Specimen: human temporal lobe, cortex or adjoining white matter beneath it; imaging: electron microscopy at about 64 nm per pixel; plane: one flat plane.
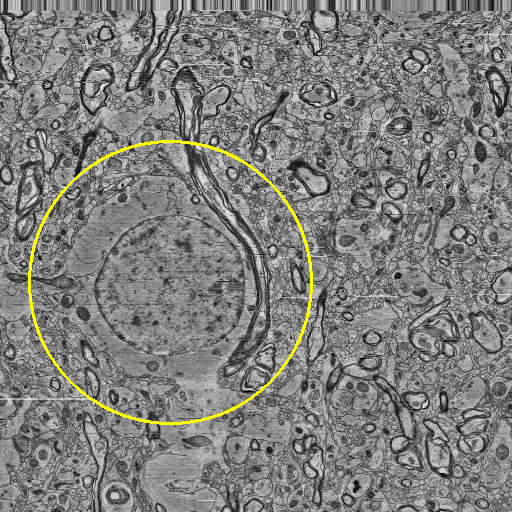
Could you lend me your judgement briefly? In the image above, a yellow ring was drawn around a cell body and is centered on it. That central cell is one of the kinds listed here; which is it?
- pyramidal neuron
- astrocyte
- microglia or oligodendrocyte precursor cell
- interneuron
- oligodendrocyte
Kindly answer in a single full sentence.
Going by the list, an astrocyte is the kind at the ring's center in the picture.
